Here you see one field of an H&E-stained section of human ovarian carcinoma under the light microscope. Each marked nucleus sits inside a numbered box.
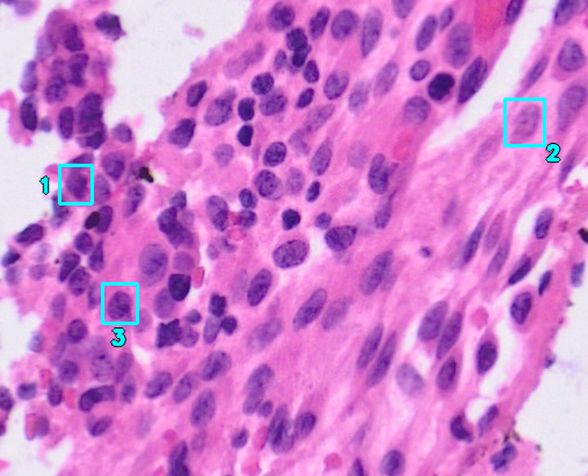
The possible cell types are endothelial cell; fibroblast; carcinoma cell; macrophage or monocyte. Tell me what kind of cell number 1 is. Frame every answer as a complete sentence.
The cell carrying label 1 is identified as a carcinoma cell.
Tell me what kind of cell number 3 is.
The label 3 in this section denotes a carcinoma cell.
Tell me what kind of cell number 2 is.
Regarding cell 2, this one is a fibroblast.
